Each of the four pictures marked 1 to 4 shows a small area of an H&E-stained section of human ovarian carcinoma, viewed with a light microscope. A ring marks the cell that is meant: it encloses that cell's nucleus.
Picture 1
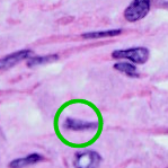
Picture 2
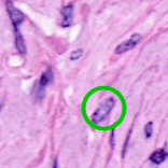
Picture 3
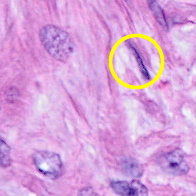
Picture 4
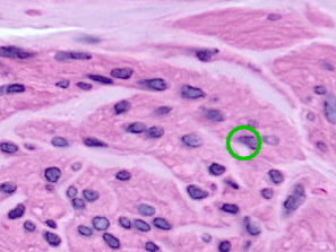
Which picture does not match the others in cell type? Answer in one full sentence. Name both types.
The others show fibroblasts, but picture 4 shows a smooth muscle cell.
